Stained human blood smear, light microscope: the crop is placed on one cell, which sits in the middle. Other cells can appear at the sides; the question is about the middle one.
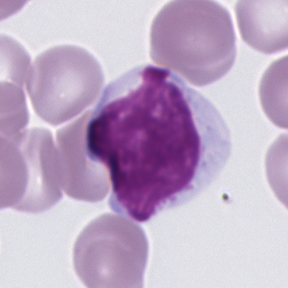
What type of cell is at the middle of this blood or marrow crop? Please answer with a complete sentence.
Where the crop is centred, there is a large granular lymphocyte.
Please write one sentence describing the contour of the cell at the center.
Its periphery is smooth, and no projections arise from it.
